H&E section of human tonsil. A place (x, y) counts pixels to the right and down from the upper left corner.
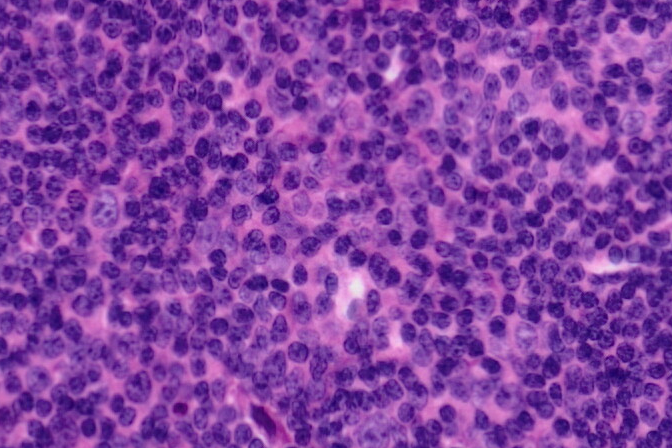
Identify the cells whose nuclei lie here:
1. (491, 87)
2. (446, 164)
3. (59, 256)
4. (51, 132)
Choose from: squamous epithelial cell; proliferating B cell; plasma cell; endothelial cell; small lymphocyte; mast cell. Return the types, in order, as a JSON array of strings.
["proliferating B cell", "small lymphocyte", "small lymphocyte", "small lymphocyte"]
